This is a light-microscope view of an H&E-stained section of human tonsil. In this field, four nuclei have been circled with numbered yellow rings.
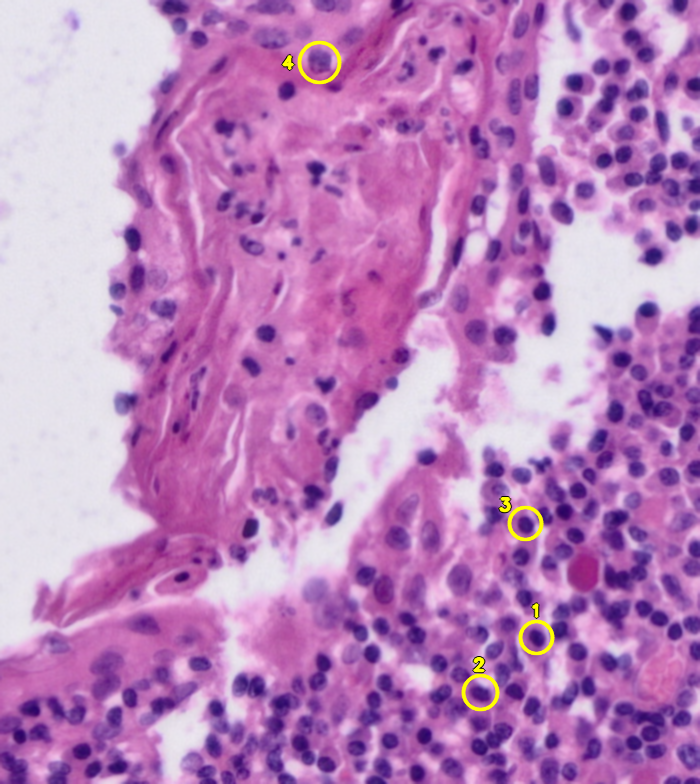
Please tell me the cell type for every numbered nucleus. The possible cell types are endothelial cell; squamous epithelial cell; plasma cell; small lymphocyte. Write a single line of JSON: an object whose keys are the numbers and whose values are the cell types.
{"1": "plasma cell", "2": "plasma cell", "3": "plasma cell", "4": "squamous epithelial cell"}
